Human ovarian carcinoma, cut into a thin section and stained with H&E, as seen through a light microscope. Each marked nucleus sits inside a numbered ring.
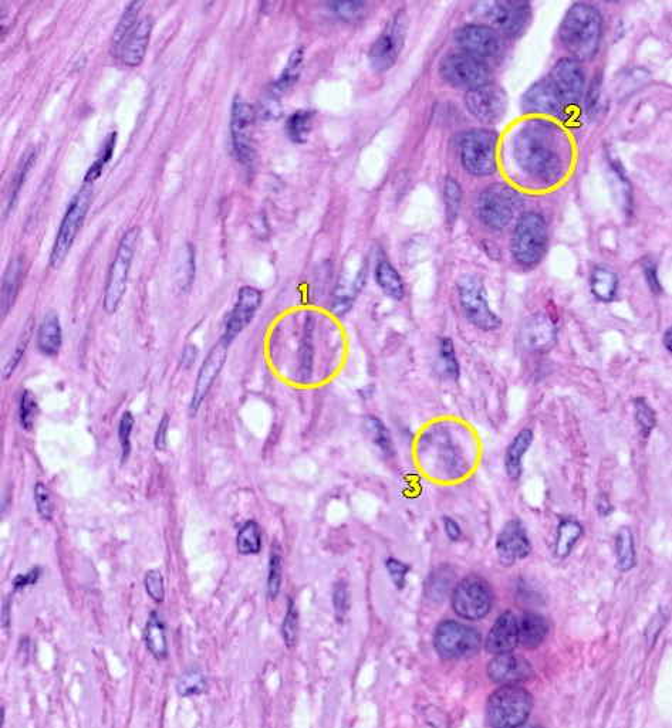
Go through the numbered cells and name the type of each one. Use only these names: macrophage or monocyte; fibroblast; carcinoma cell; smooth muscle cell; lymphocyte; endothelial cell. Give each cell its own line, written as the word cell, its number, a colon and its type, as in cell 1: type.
cell 1: fibroblast
cell 2: carcinoma cell
cell 3: fibroblast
